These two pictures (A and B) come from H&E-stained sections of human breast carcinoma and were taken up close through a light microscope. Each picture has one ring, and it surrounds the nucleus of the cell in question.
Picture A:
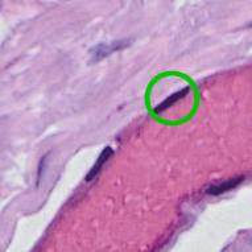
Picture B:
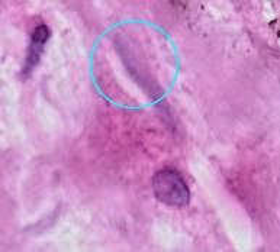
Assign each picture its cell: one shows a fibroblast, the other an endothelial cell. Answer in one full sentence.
Picture A shows an endothelial cell and picture B shows a fibroblast.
